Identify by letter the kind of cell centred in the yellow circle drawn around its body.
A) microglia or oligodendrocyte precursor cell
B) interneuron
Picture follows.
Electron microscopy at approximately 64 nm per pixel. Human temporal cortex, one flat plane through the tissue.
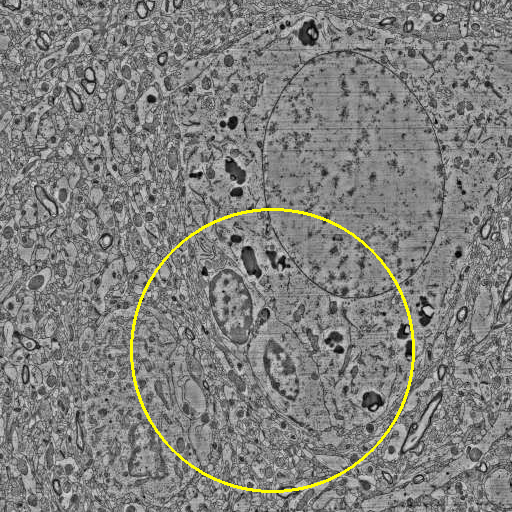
A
